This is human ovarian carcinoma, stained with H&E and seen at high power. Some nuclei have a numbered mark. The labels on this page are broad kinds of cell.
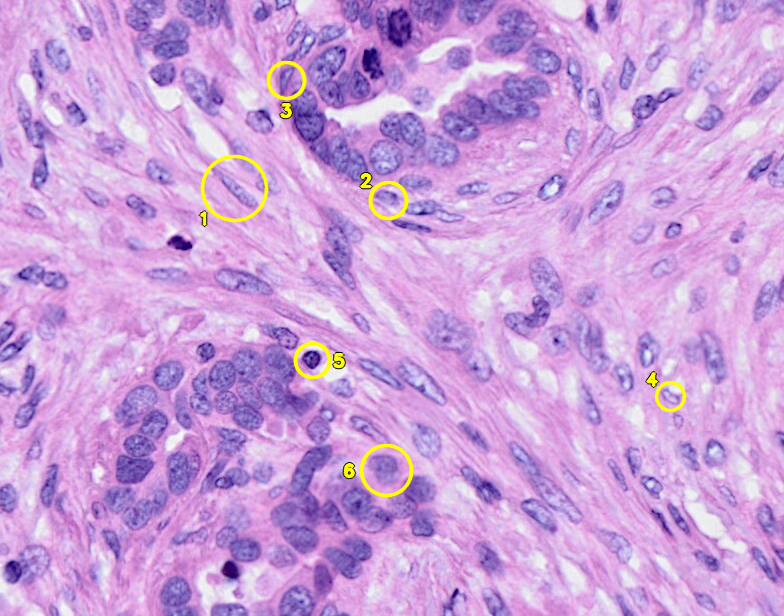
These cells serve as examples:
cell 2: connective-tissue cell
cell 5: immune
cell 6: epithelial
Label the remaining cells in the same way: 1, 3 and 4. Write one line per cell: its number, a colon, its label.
1: connective-tissue cell
3: connective-tissue cell
4: connective-tissue cell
